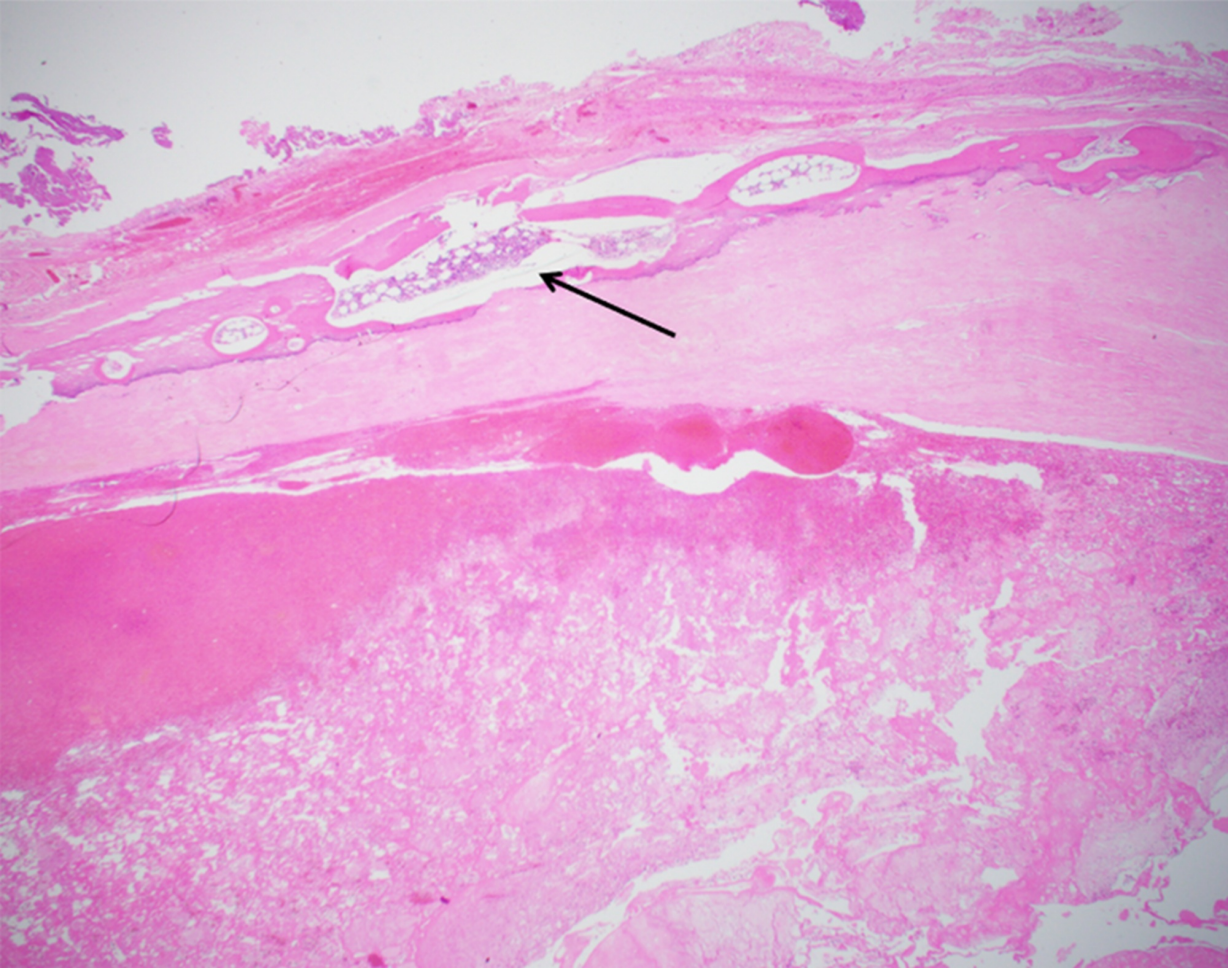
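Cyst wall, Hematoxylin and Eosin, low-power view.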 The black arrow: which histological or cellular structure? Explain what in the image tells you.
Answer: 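The arrow points into a space enclosed by a band of deep pink tissue. The space holds many round clear vacuoles mixed with small purple-stained cells. Similar smaller spaces with clear vacuoles lie along the same pink band. So: hematopoietic elements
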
